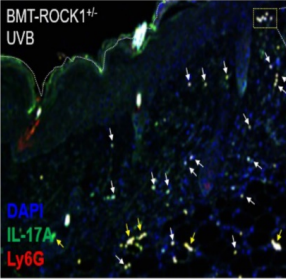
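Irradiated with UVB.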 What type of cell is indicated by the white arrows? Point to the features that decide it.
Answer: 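The white arrows point to small, compact, single cells scattered through the dermis. These cells are bright in both red and green, so they appear whitish-yellow on the blue background.
Answer: non-netting neutrophils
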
